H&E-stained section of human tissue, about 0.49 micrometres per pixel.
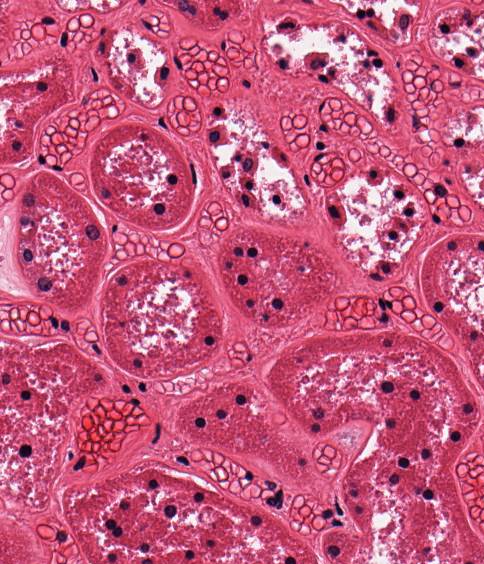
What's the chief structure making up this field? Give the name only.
cortical labyrinth of the kidney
